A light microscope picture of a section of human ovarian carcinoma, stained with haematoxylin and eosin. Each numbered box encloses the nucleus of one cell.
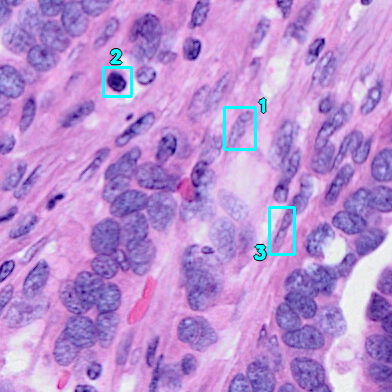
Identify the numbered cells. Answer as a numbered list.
1. fibroblast
2. lymphocyte
3. fibroblast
